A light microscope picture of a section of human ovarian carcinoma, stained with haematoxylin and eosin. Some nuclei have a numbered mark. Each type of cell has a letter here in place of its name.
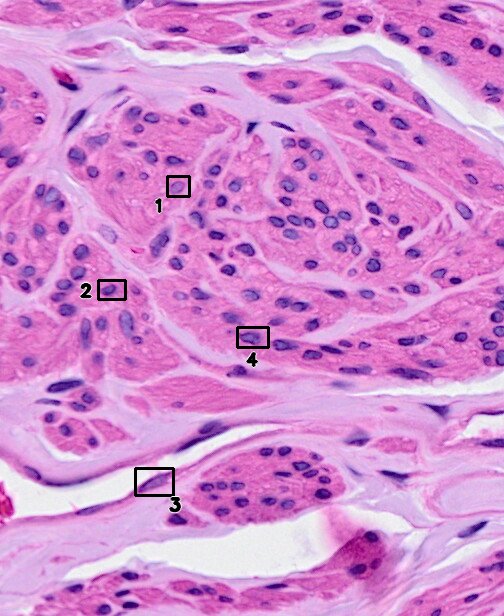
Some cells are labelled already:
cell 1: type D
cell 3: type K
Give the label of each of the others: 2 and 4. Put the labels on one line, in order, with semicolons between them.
type D; type D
